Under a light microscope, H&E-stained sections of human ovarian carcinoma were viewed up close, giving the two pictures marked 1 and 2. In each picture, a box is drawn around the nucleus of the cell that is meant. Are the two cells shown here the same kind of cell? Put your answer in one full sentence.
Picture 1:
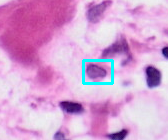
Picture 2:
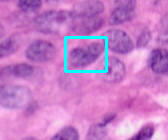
Yes, the two pictures both show “macrophages or monocytes”.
